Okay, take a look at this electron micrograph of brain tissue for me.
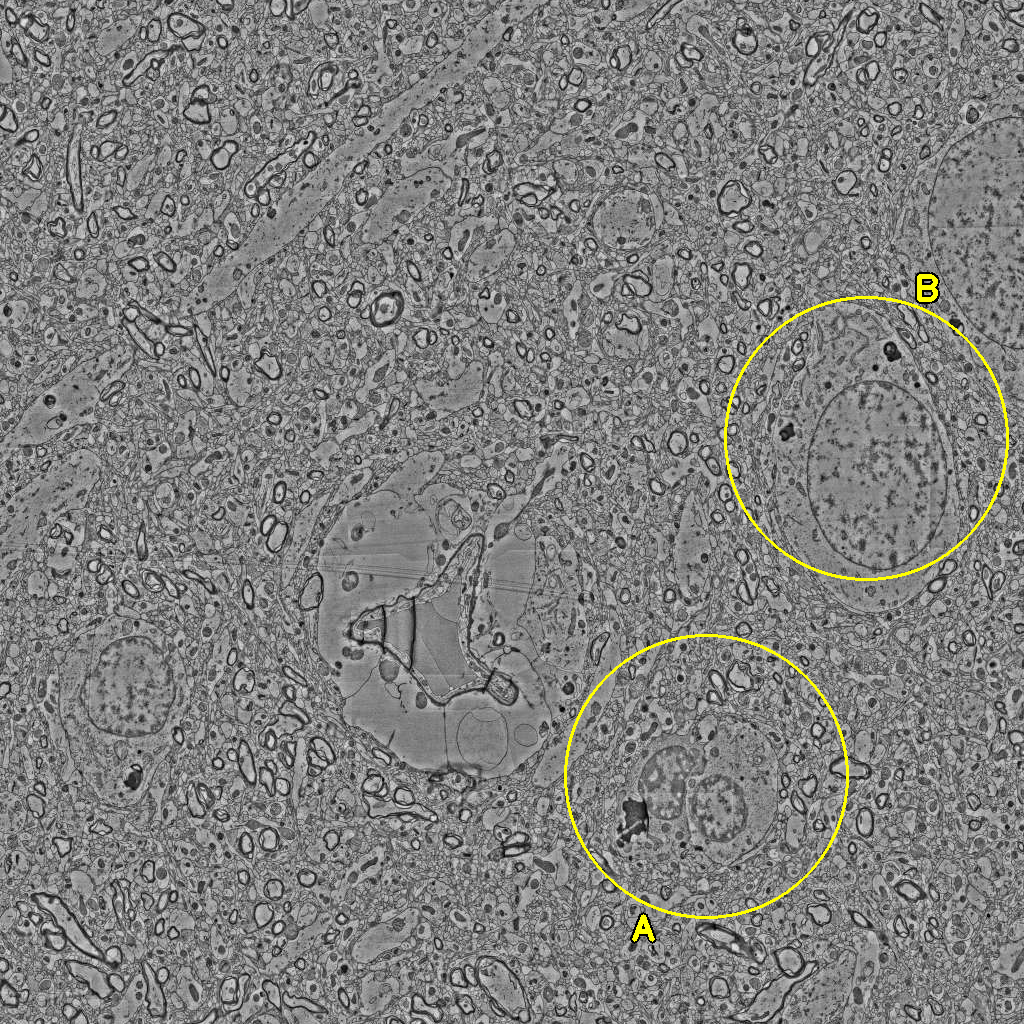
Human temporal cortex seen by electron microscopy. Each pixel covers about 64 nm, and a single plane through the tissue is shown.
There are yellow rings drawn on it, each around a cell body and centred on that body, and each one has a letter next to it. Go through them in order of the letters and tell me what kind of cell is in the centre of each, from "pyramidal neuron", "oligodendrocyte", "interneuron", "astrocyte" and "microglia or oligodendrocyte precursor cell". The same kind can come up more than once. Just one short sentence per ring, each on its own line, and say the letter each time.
In the centre of ring A there's an interneuron.
In the centre of ring B there's a pyramidal neuron.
